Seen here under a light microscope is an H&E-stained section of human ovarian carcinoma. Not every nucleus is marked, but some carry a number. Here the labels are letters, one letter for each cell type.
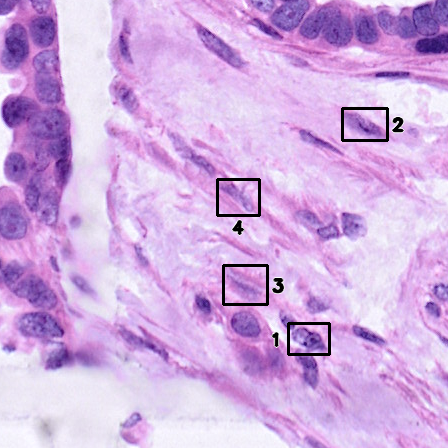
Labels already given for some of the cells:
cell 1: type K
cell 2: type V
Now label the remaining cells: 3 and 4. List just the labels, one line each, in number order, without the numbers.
type V
type V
